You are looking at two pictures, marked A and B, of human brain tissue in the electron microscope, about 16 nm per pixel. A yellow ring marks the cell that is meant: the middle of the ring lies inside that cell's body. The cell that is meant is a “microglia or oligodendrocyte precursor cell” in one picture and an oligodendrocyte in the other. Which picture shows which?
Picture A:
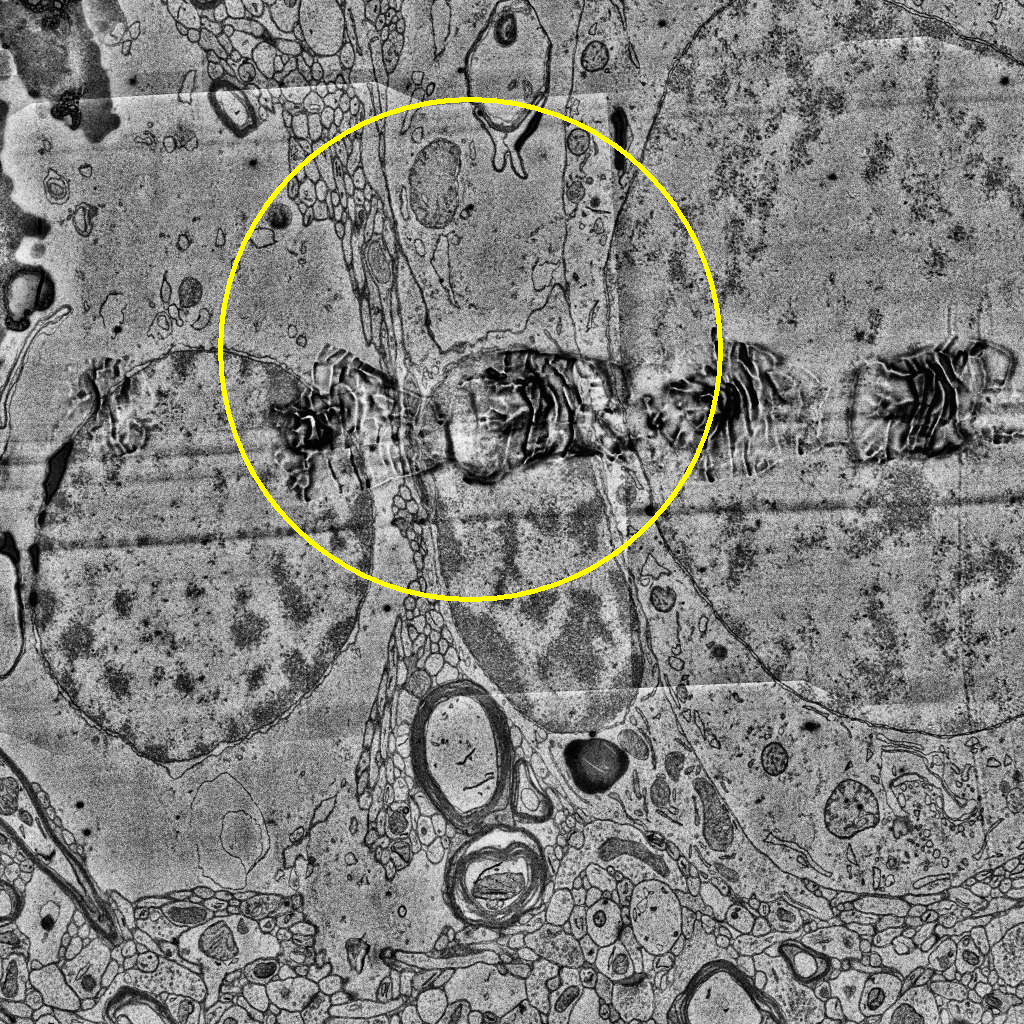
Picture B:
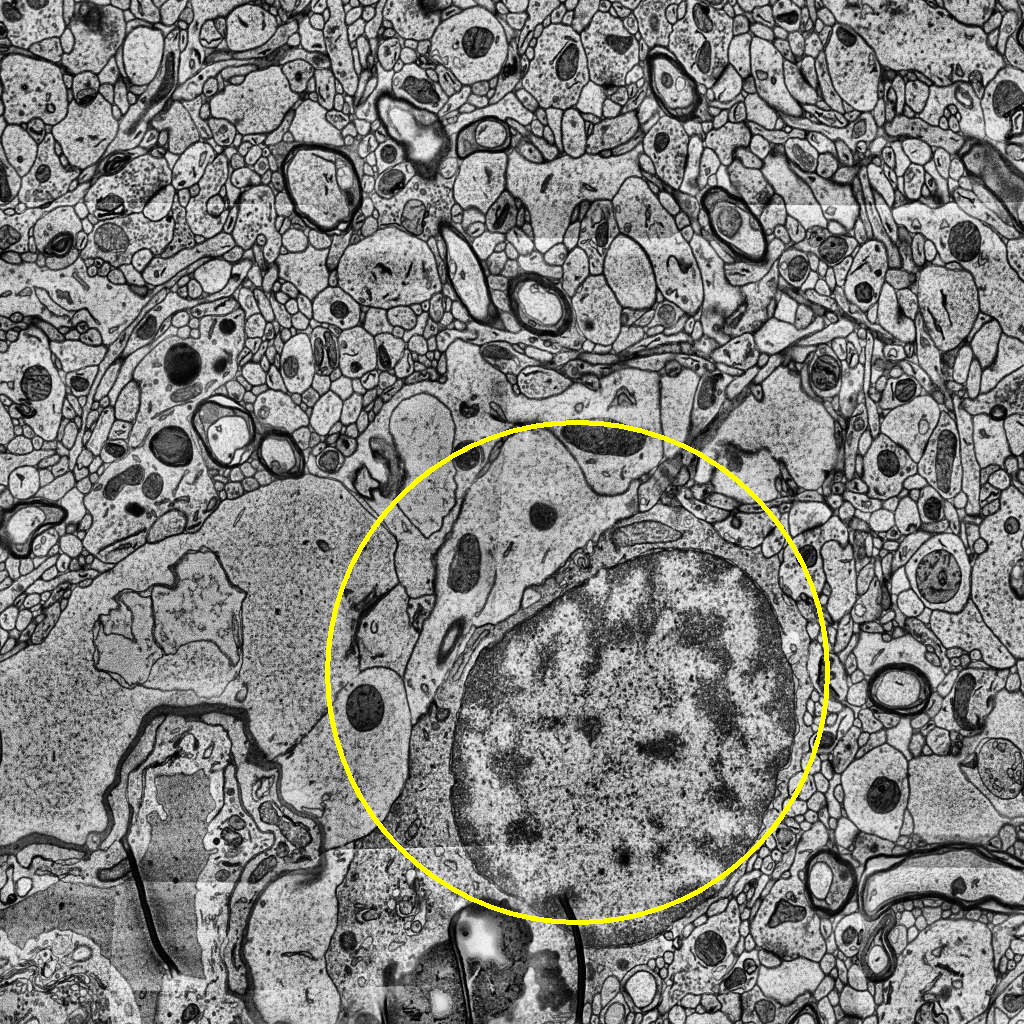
In picture A the cell is a “microglia or oligodendrocyte precursor cell”; in picture B, an oligodendrocyte.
